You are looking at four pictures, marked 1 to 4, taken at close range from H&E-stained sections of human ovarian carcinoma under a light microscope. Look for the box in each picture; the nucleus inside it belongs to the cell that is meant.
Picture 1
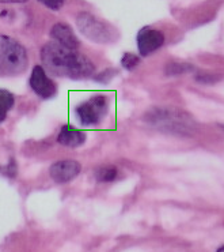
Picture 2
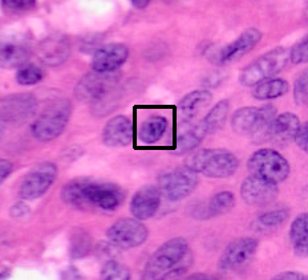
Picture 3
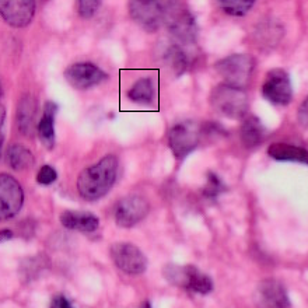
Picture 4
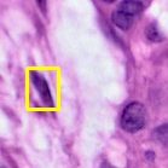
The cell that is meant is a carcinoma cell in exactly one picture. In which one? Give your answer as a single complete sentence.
The cell in picture 1 is the carcinoma cell.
